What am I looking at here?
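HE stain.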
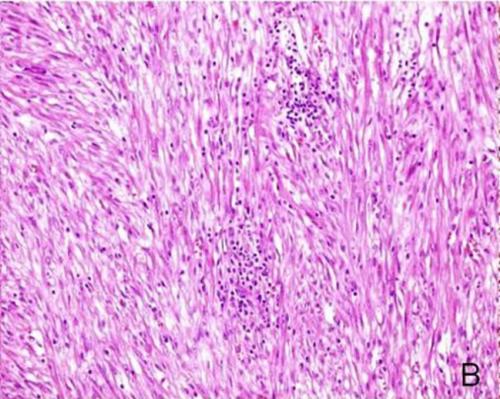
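This is a spindle cell tumor with an inflammatory infiltrate in its stroma. Elongated spindle-shaped cells with pale pink cytoplasm and slender, oval to tapered nuclei run in parallel, gently curving streams across the field. Between them, two clusters of small cells with dark, round nuclei stand out against the paler spindle cells. The spindle cell nuclei are fairly uniform and not crowded.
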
